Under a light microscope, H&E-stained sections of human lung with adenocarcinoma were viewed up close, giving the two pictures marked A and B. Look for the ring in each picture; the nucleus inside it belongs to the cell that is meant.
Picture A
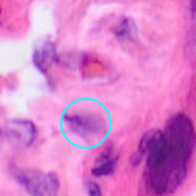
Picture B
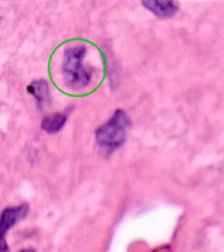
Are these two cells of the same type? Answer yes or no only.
yes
